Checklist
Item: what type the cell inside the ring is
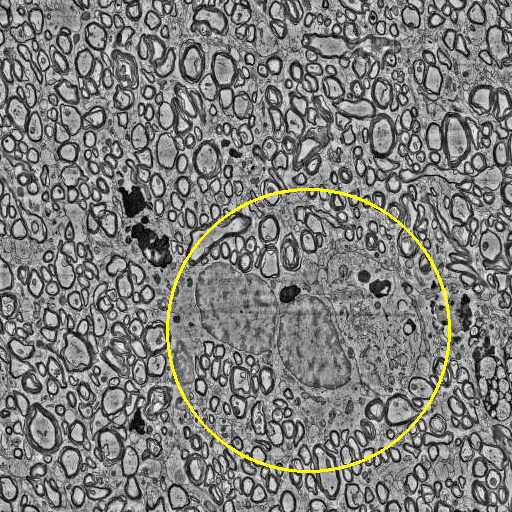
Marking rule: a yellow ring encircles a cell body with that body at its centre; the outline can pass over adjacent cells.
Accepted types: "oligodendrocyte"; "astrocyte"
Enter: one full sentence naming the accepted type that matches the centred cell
The entry is that an oligodendrocyte lies at the centre of the yellow ring.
